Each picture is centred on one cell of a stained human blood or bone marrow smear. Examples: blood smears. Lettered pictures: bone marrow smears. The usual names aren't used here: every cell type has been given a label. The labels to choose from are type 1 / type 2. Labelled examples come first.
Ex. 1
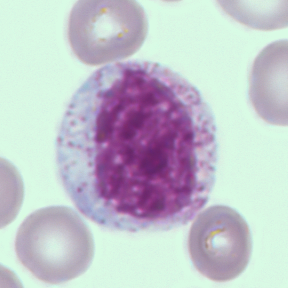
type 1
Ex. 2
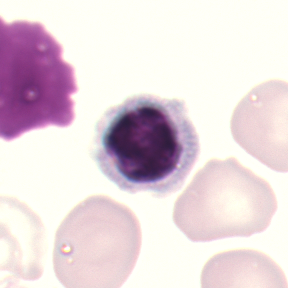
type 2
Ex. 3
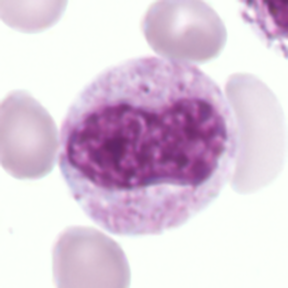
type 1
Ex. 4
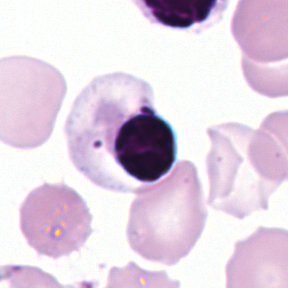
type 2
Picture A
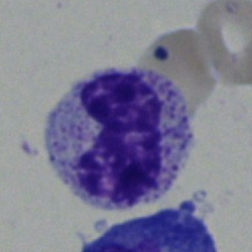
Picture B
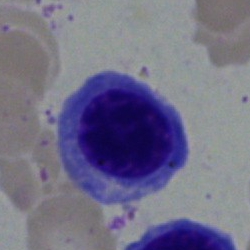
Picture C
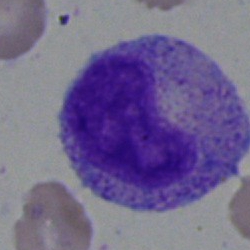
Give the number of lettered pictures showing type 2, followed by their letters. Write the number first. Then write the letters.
Count: 1 (B)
